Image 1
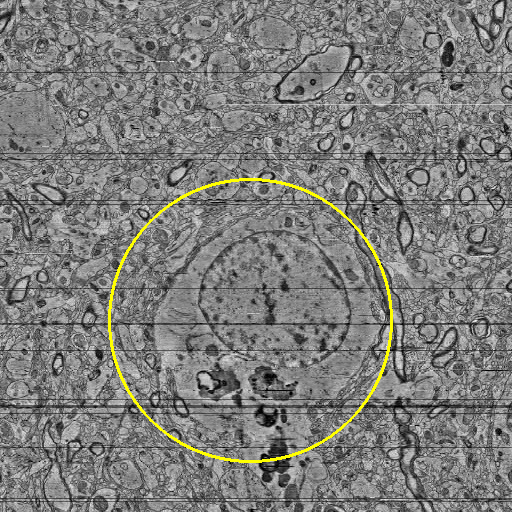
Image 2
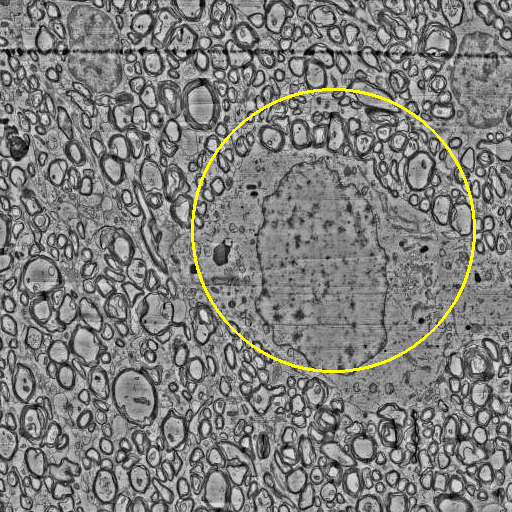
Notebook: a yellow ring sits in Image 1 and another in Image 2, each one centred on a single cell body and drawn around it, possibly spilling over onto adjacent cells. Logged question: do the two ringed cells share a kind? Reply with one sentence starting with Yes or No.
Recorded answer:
No, the centre cells inside the rings of Image 1 and Image 2 are of two kinds.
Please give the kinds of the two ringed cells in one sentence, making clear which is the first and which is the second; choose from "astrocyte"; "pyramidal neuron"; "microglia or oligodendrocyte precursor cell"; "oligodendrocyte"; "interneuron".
In the second picture the ringed cell is a pyramidal neuron; in the first it is an astrocyte.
